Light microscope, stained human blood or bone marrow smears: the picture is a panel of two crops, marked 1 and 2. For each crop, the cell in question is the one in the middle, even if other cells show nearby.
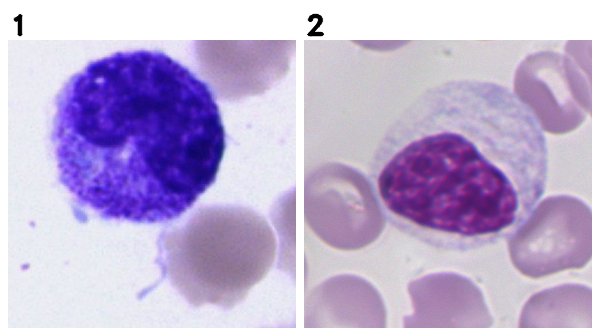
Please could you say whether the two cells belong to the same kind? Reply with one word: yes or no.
yes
